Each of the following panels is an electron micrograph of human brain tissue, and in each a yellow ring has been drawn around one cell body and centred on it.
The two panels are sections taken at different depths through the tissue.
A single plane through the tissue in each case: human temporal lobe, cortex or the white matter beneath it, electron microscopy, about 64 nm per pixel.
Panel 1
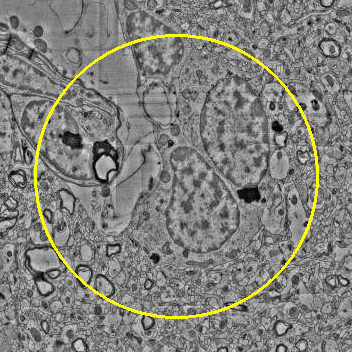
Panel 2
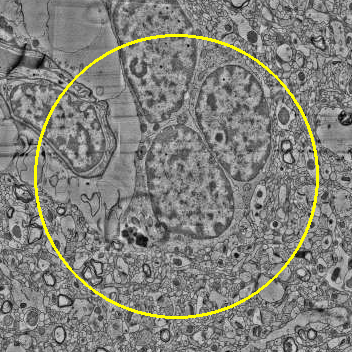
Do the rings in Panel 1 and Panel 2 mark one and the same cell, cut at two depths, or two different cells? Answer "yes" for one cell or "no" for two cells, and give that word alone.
yes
